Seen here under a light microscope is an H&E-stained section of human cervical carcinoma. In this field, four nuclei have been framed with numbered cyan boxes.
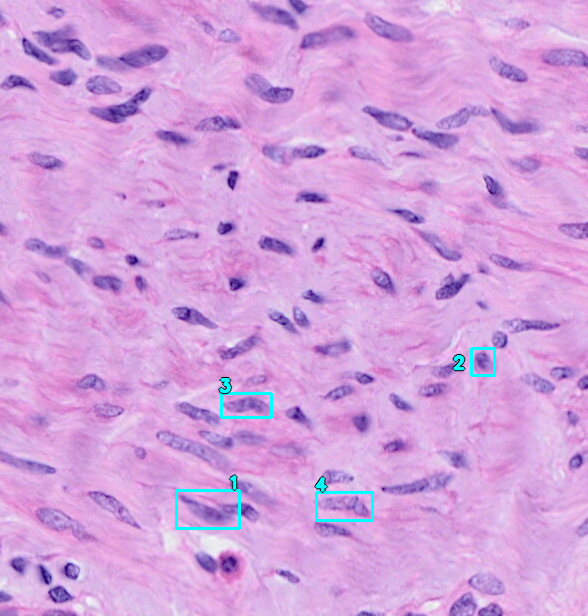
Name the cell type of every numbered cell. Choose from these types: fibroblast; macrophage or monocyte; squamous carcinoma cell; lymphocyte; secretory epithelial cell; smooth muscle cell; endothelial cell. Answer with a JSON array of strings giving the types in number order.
["fibroblast", "smooth muscle cell", "smooth muscle cell", "smooth muscle cell"]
